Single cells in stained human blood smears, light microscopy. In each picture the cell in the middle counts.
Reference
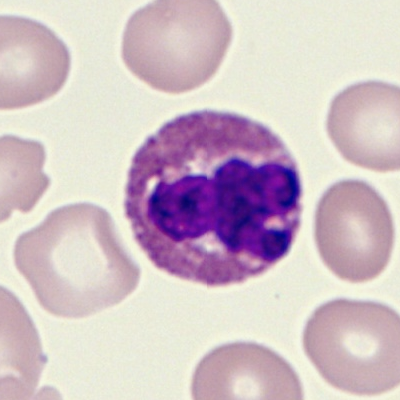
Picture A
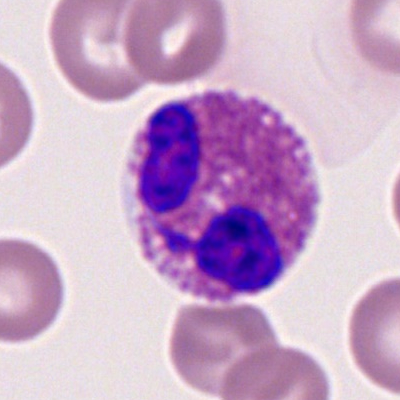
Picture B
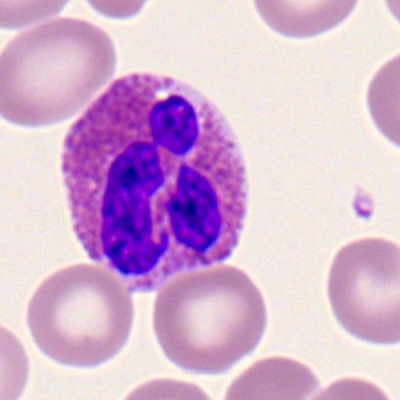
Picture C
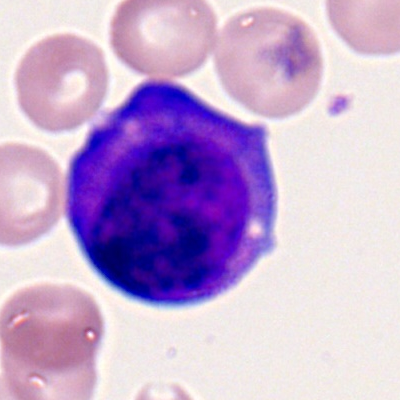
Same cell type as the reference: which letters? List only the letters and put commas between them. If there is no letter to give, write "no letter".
A, B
